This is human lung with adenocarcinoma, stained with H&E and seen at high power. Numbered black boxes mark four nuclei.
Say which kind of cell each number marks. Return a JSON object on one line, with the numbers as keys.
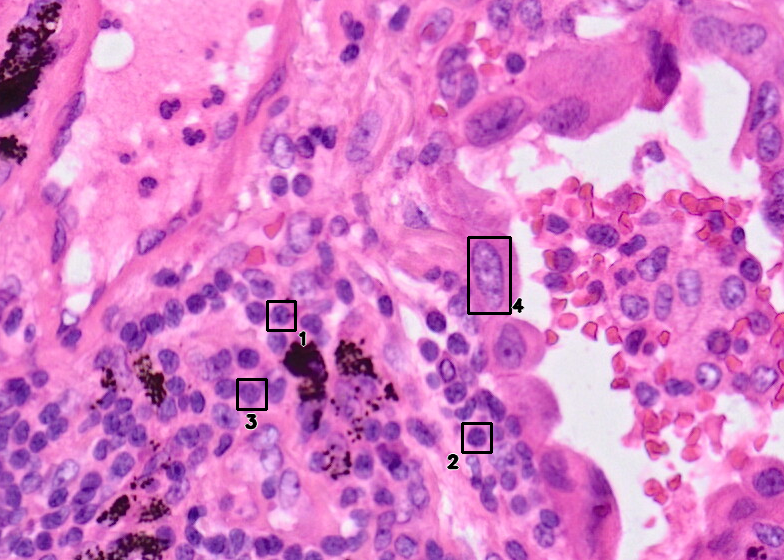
{"1": "lymphocyte", "2": "lymphocyte", "3": "lymphocyte", "4": "carcinoma cell"}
